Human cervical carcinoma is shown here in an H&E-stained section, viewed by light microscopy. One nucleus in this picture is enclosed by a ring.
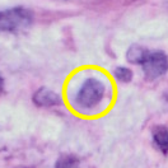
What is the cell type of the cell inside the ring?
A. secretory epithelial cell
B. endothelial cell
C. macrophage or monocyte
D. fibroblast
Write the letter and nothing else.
C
